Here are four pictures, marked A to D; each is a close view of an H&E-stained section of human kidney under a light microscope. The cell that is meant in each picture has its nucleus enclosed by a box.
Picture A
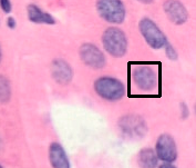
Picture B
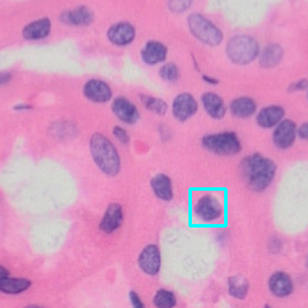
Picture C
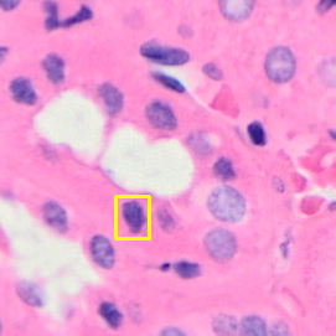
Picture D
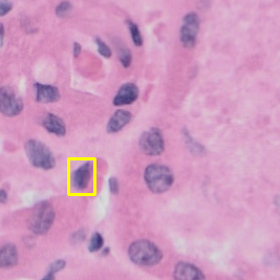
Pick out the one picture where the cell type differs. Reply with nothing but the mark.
D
